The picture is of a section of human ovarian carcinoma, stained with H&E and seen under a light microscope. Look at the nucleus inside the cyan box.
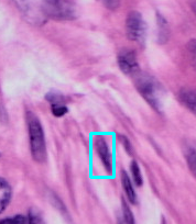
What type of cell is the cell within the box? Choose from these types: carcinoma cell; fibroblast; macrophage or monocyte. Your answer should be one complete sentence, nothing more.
Recorded by type, the cell within the box is a fibroblast.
